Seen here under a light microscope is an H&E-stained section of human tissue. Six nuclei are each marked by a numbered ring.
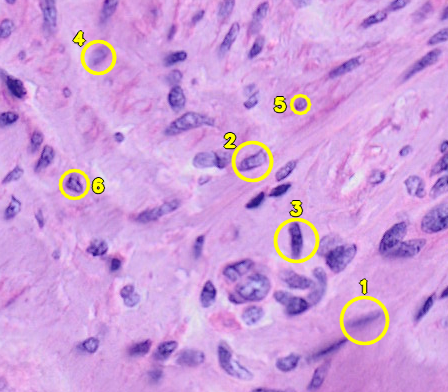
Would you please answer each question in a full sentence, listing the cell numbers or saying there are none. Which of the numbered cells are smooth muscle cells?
The cells that have been numbered 2, 4, 5 and 6 are smooth muscle cells.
